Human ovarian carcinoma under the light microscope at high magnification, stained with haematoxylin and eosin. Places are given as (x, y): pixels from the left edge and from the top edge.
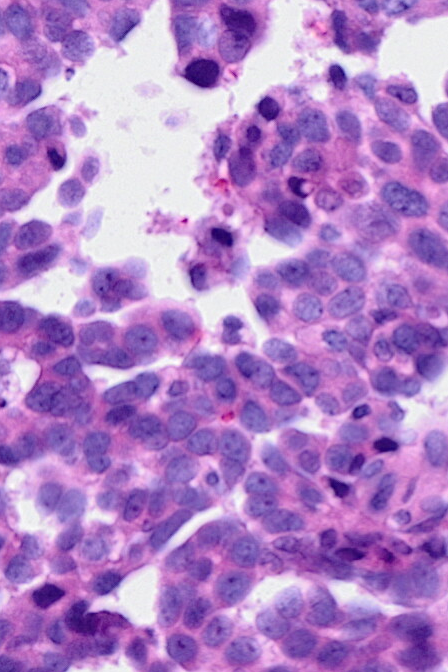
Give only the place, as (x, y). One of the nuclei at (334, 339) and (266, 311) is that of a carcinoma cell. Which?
(266, 311)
